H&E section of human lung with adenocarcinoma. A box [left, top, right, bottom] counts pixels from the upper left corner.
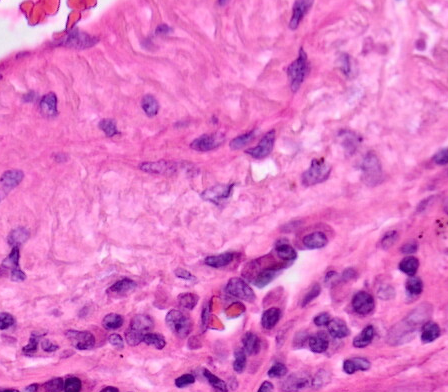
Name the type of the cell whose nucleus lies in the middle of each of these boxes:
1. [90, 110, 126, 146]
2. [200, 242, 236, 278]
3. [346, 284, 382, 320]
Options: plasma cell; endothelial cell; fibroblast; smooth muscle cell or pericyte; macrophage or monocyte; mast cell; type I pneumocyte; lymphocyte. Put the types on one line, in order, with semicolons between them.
smooth muscle cell or pericyte; plasma cell; plasma cell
